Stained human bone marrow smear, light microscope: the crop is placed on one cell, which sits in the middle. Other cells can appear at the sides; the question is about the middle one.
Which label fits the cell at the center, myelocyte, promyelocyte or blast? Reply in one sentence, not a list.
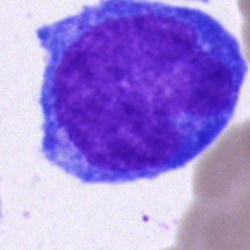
At the crop's centre, the cell is a blast.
